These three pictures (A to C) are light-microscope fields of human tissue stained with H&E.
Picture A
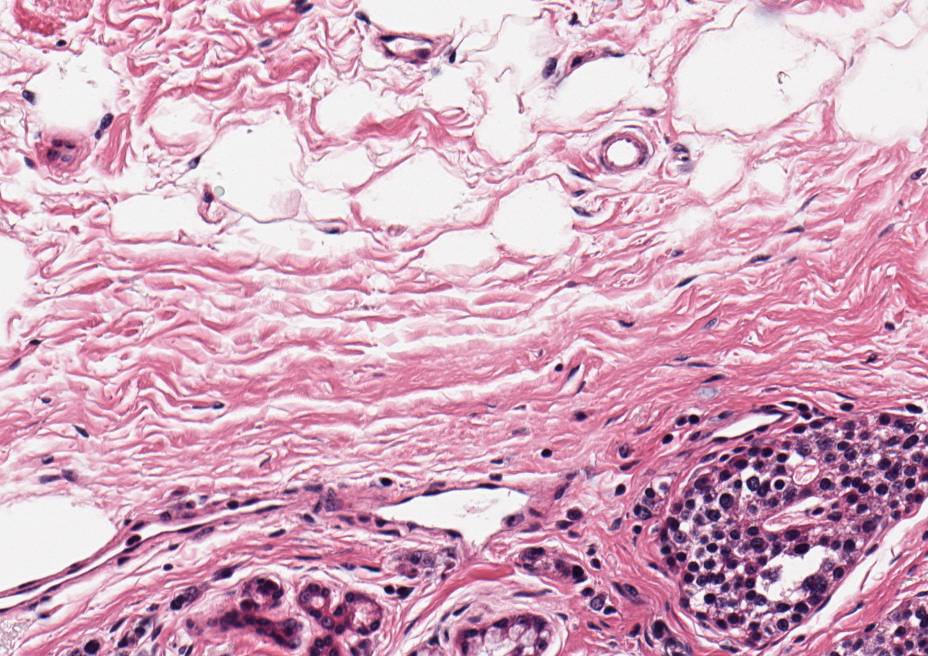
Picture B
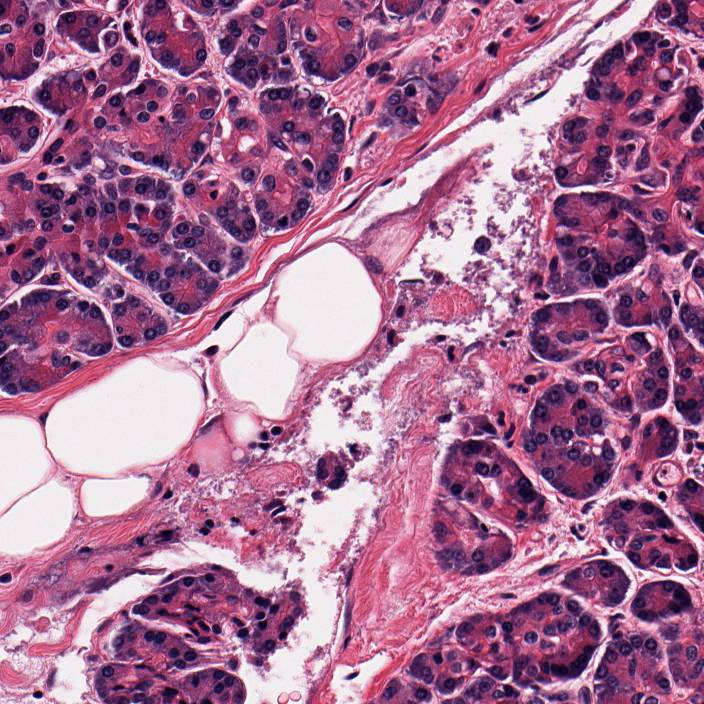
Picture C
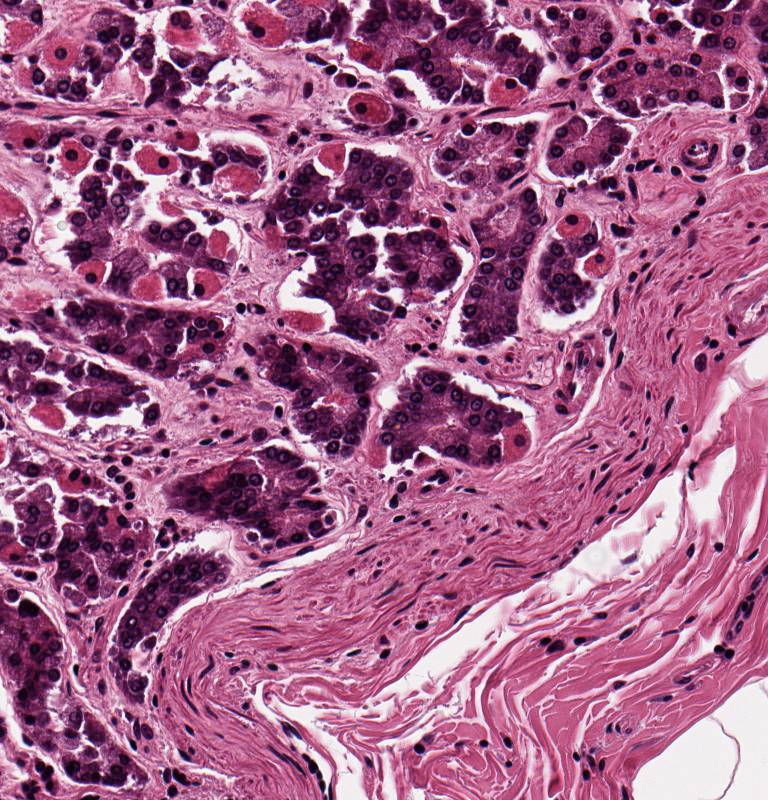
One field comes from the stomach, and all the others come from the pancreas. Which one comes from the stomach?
C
